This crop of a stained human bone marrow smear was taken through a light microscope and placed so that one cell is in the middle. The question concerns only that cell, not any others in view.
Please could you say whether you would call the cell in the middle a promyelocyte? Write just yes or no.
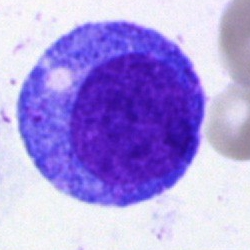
yes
